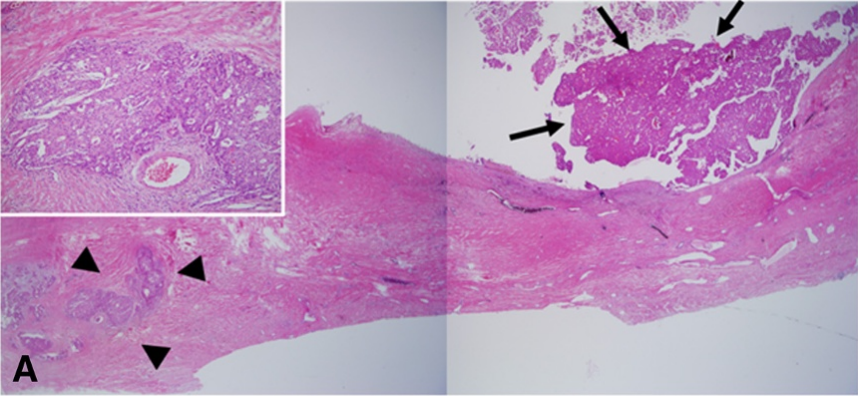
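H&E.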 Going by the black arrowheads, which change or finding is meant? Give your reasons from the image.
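Purple cellular nests lie embedded within the fibrous wall tissue. The nests are surrounded by pink stroma rather than a cyst space.
Conclusion: invasive components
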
